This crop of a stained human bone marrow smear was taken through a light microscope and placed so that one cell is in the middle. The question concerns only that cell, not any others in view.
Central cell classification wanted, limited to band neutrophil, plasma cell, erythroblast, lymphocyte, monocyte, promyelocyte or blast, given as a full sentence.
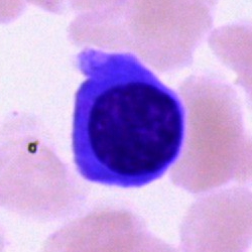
The crop shows a plasma cell in its centre.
